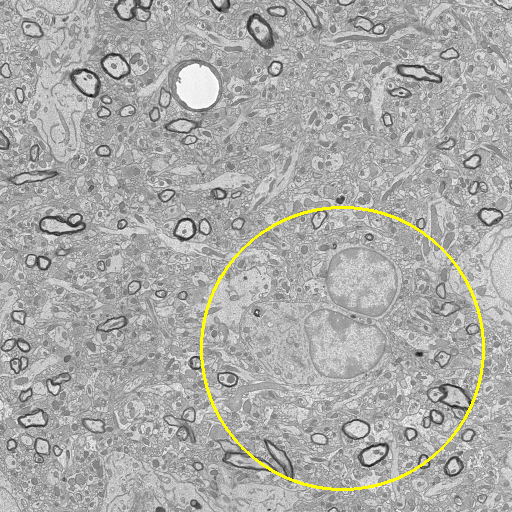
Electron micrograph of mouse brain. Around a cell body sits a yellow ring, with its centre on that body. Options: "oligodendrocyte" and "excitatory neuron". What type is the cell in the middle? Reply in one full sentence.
The cell sitting at the centre of the yellow ring is an oligodendrocyte.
